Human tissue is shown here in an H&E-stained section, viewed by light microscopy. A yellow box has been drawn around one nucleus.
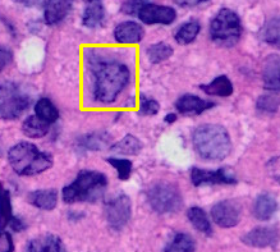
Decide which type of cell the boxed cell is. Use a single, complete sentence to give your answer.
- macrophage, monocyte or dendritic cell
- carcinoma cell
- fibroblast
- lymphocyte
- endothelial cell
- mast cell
At the level of cell identity, the boxed cell is a carcinoma cell.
